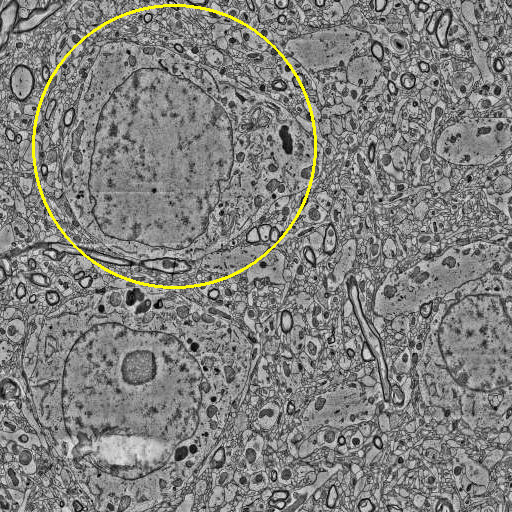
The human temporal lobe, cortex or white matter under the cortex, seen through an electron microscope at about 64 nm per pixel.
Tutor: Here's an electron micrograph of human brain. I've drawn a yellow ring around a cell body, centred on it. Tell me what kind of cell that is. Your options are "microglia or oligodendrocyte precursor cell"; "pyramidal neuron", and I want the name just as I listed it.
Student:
pyramidal neuron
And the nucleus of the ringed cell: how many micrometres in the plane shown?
Roughly 12 micrometres by 10 micrometres, in this plane.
